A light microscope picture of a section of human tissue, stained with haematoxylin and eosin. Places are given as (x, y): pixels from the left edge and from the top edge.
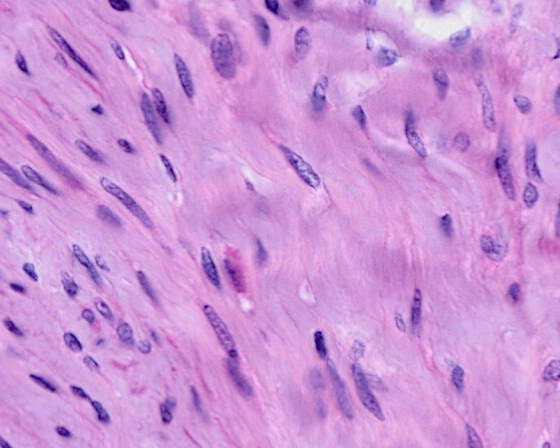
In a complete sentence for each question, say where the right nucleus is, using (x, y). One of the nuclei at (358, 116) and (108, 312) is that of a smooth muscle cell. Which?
The one belonging to a smooth muscle cell is the nucleus at (108, 312), not the other.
